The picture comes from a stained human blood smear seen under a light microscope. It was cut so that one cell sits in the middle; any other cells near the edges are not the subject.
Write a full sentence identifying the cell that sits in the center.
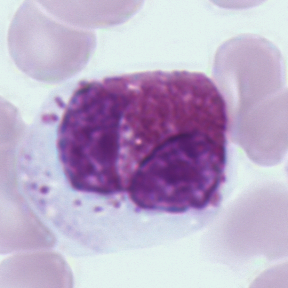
The cell in the middle of the field of view is an eosinophil.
